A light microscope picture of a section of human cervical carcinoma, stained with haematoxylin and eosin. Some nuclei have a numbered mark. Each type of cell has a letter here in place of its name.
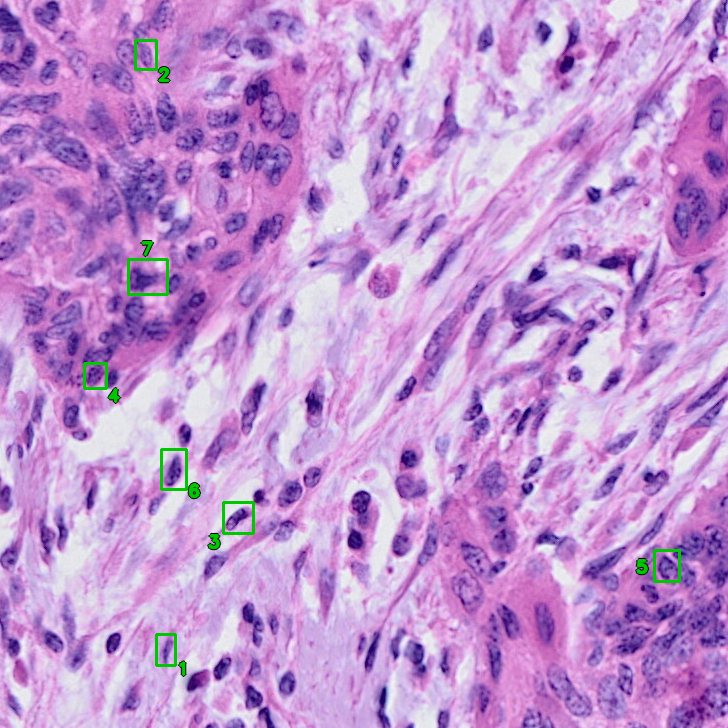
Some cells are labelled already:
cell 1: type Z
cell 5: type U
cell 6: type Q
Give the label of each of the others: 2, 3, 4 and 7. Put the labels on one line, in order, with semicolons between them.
type U; type Q; type U; type U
